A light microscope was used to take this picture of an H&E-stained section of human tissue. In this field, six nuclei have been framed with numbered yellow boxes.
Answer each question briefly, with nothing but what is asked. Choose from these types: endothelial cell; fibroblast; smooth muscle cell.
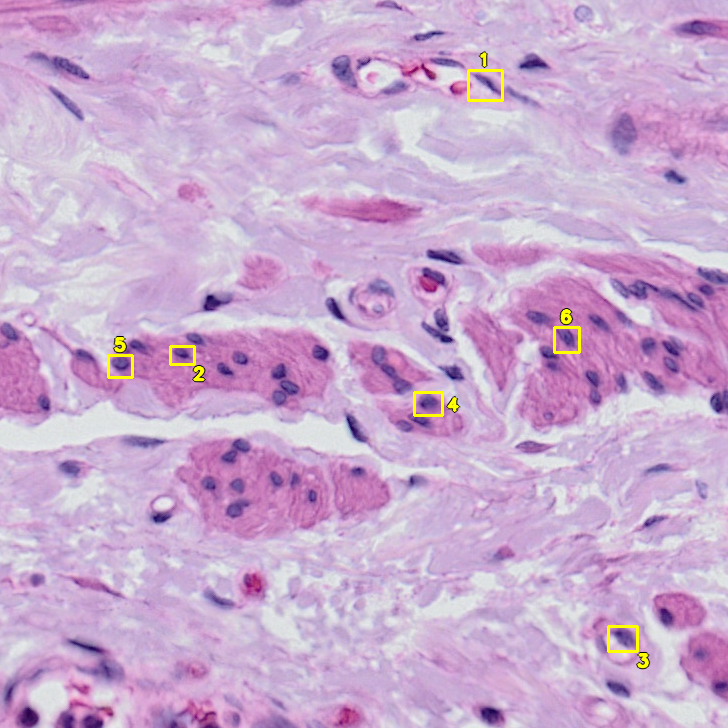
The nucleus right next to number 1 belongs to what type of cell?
fibroblast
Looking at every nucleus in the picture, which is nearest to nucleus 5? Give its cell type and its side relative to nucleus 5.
a smooth muscle cell, above and to the right of nucleus 5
